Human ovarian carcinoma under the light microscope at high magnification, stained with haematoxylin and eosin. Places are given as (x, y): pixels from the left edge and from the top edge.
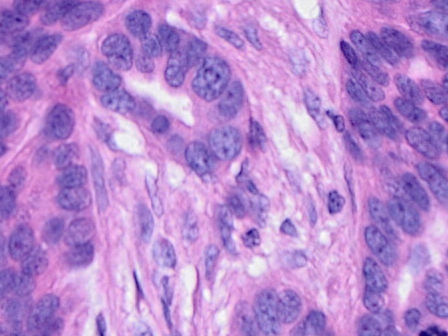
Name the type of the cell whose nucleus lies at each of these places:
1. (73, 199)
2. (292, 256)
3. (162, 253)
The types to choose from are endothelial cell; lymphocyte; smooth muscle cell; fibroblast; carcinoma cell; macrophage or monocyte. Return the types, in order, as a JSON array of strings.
["carcinoma cell", "fibroblast", "fibroblast"]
